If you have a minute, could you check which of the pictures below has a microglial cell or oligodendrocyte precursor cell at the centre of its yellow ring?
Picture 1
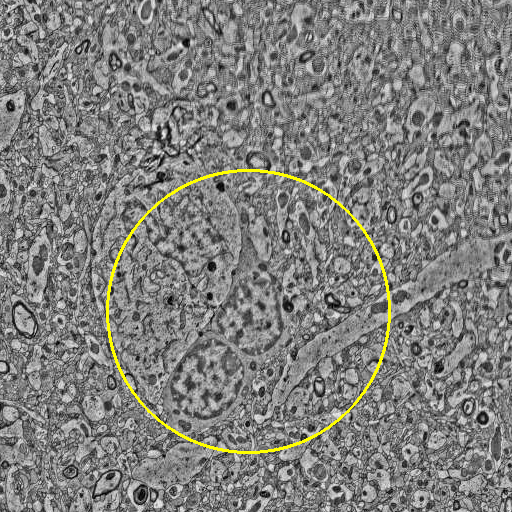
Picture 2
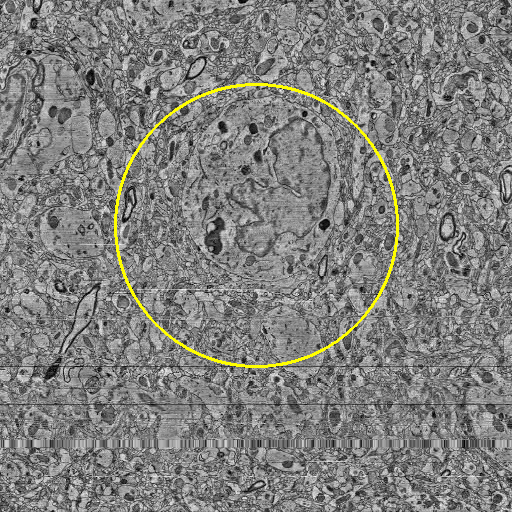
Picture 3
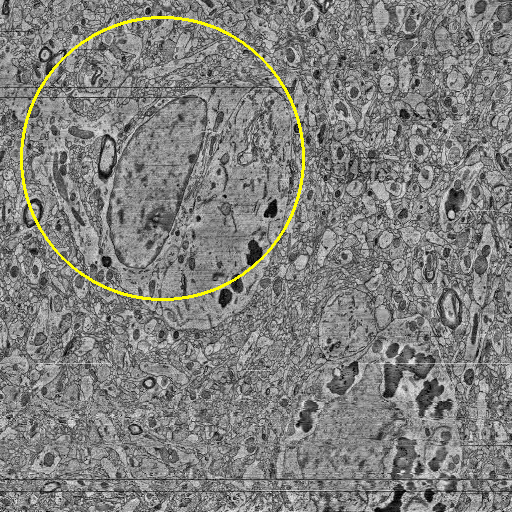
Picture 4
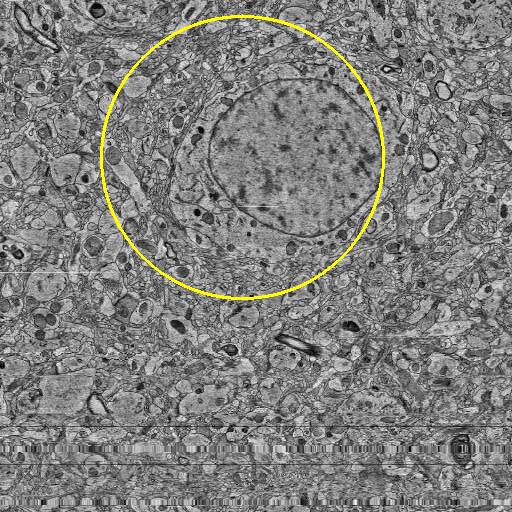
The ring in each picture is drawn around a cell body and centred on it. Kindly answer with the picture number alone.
3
